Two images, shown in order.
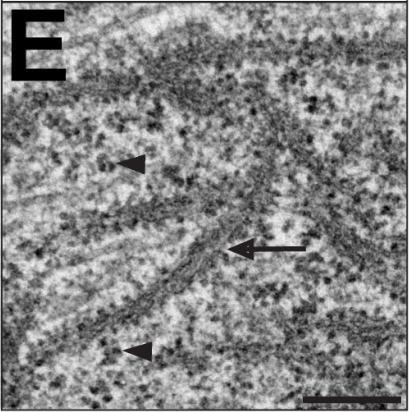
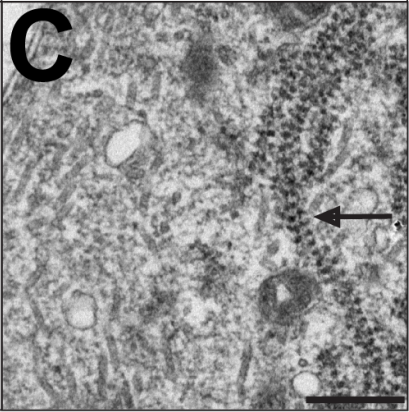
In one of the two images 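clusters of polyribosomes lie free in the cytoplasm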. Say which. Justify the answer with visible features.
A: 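First image: clusters of dense granules are scattered through the cytoplasm between the linear structures. Second image: the cytoplasm away from the granule-lined structures shows few such granule clusters. That points to this answer: the first image.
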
